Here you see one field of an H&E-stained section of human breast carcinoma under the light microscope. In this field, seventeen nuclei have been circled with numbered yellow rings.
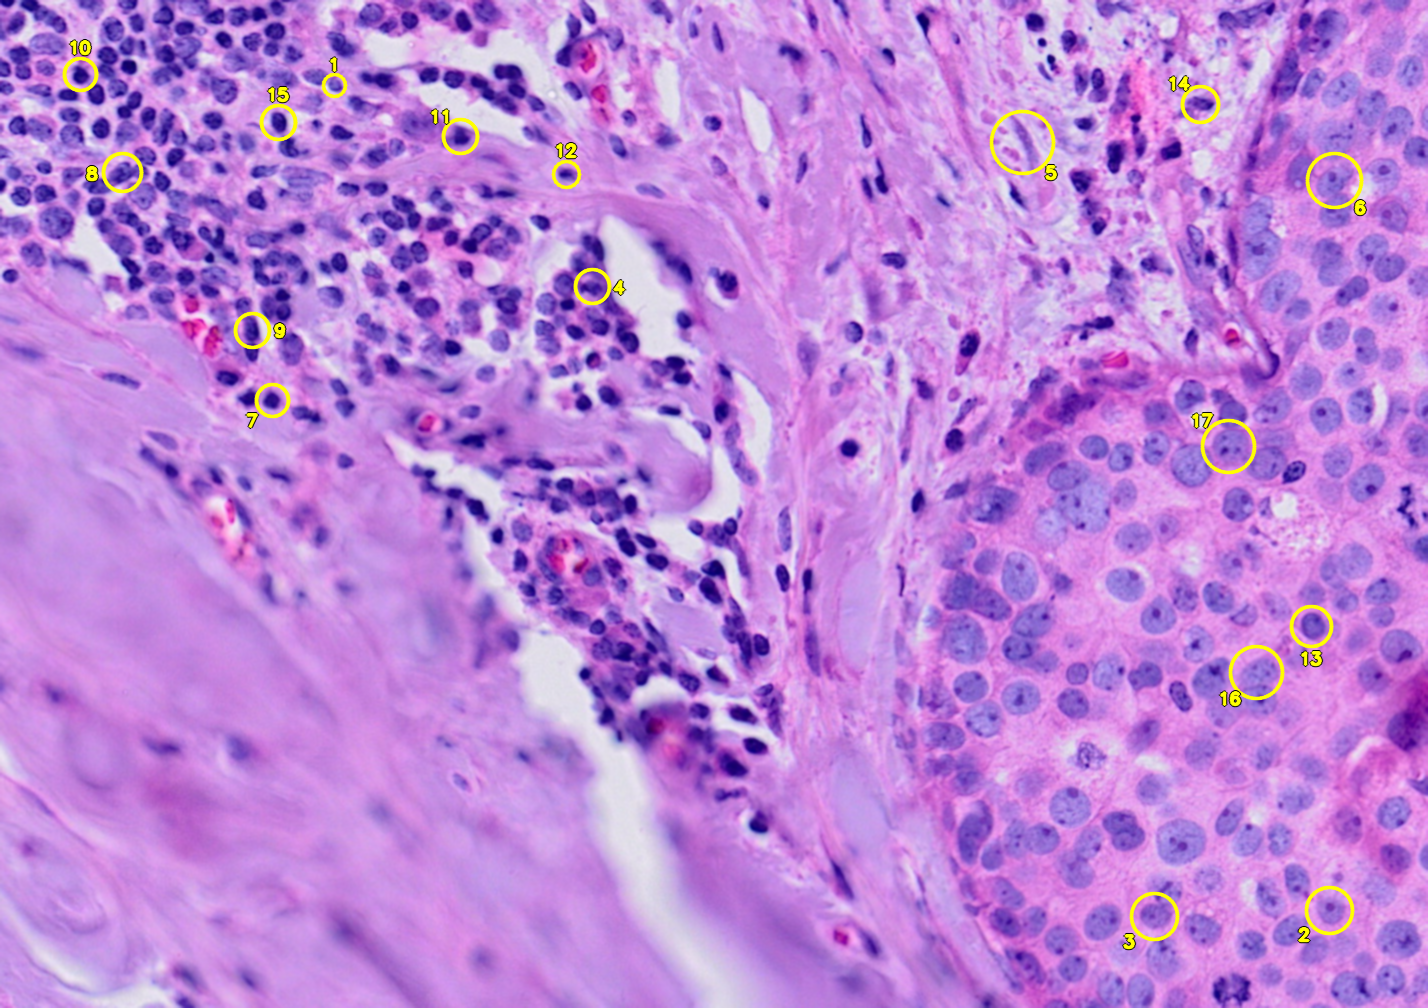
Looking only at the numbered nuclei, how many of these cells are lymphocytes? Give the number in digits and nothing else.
9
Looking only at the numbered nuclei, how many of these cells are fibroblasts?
1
